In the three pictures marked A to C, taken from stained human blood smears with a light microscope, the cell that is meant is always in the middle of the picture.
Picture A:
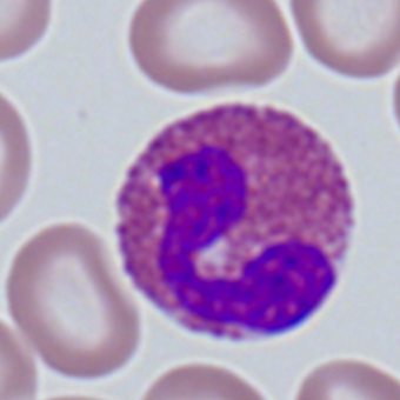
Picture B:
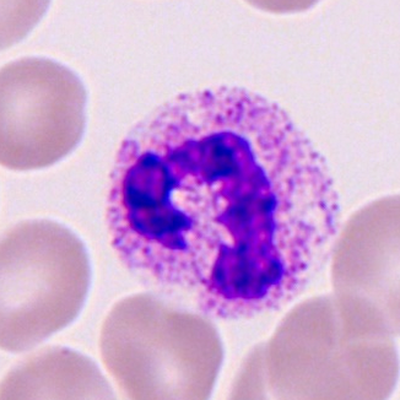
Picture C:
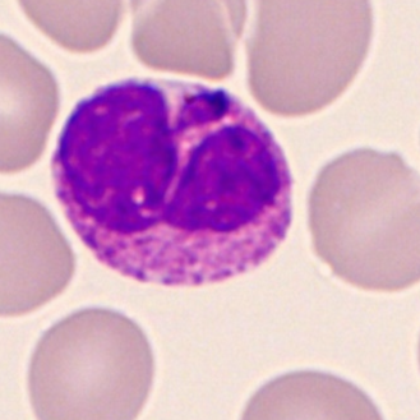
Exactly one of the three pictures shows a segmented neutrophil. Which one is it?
B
